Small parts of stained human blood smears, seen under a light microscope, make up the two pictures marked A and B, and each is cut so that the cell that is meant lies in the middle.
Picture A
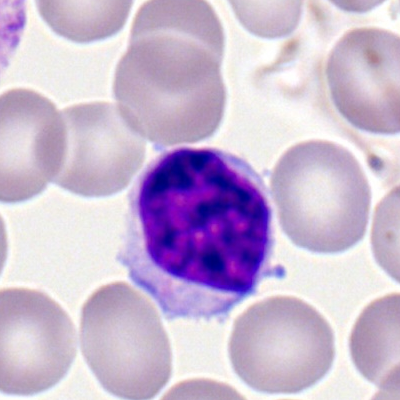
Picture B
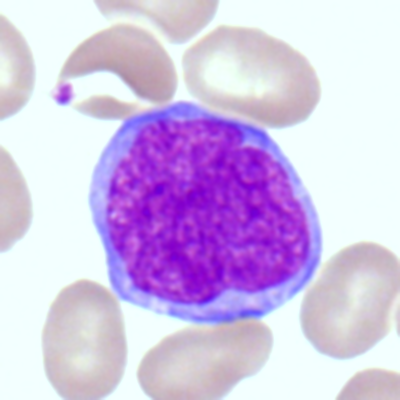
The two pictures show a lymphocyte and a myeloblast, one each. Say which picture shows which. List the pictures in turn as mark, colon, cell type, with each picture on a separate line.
A: lymphocyte
B: myeloblast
